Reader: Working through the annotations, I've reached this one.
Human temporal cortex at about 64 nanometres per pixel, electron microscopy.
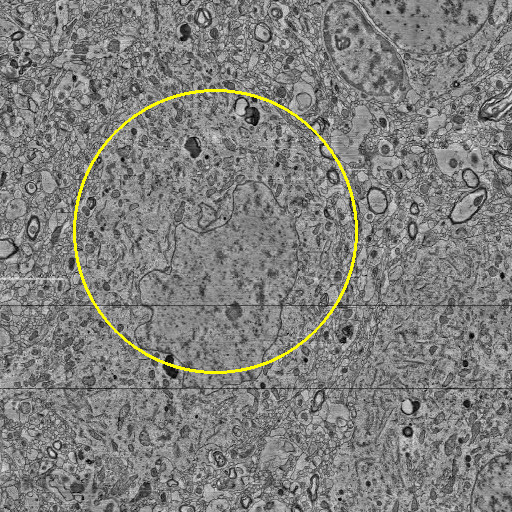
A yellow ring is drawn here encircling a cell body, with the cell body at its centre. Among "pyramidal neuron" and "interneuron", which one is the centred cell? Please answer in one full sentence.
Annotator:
The cell body at the centre of the yellow ring in this image belongs to a pyramidal neuron.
